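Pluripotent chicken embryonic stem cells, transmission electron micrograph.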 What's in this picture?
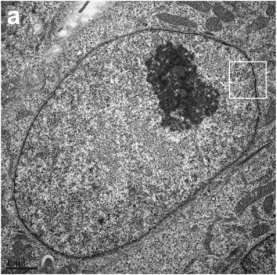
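A single large oval nucleus fills most of the field, bounded by a thin, dark, continuous nuclear envelope. Its interior is finely granular and fairly evenly textured, with little dense chromatin pressed against the envelope. Near the top lies a large, dark, irregular, clumped mass. Around the nucleus a rim of cytoplasm holds elongated organelles, likely mitochondria, at the upper right. A white box marks a stretch of the nuclear envelope at the right edge.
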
